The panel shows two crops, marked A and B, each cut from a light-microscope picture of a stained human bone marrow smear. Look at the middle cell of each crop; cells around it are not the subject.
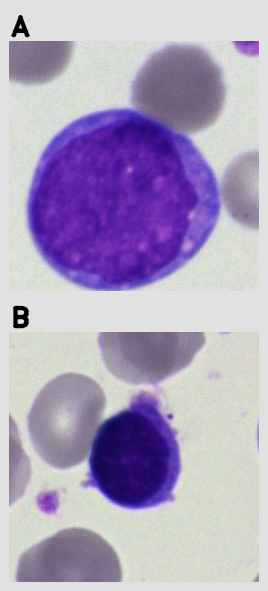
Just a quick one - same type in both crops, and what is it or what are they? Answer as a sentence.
No, the cell in crop A is a blast, and the cell in crop B is a lymphocyte.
